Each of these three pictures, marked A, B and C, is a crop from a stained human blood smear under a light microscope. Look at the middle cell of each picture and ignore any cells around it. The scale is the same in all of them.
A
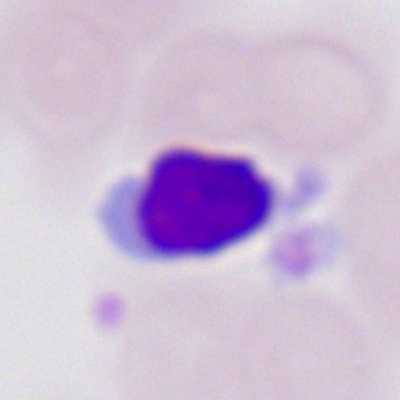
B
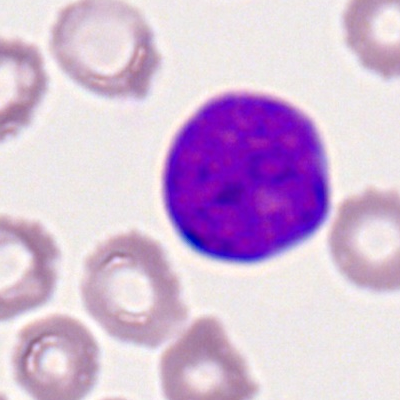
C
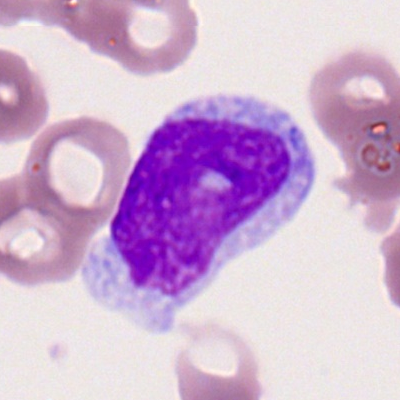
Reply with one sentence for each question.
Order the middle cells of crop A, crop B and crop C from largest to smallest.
From the largest down, the order is C, B, A.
